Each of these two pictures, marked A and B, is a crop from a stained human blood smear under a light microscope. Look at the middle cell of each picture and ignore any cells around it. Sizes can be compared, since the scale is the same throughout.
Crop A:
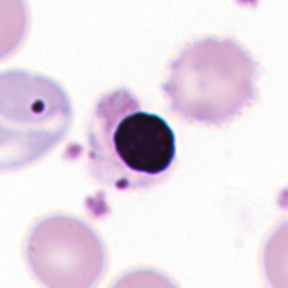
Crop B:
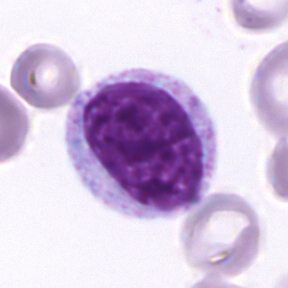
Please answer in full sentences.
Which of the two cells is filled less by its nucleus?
It is the cell in crop A that is filled less by its nucleus.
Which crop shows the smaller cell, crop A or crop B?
Smaller is the cell in crop A, and the other is about 2.5 times as large in area.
